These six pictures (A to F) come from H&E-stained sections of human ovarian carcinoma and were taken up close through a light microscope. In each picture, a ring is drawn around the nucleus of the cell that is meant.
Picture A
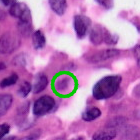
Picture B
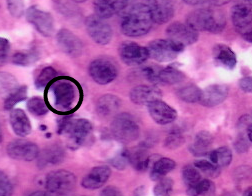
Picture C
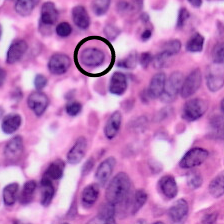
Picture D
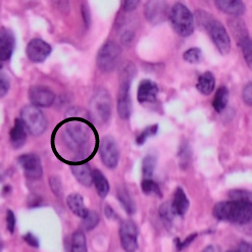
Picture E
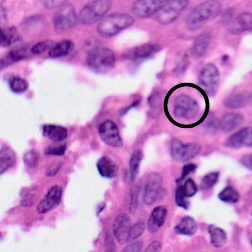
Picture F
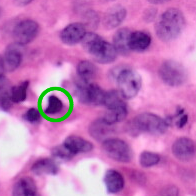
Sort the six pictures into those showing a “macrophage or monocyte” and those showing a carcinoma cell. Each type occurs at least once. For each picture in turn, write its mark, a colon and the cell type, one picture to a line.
A: macrophage or monocyte
B: carcinoma cell
C: macrophage or monocyte
D: carcinoma cell
E: macrophage or monocyte
F: carcinoma cell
